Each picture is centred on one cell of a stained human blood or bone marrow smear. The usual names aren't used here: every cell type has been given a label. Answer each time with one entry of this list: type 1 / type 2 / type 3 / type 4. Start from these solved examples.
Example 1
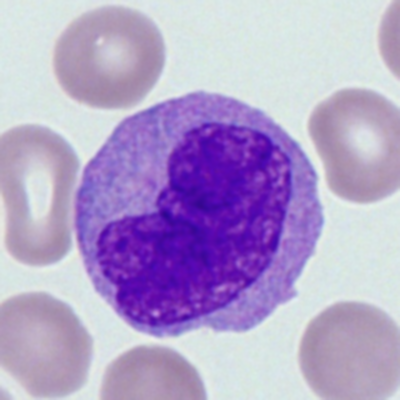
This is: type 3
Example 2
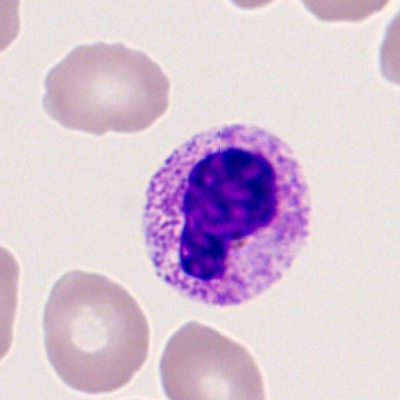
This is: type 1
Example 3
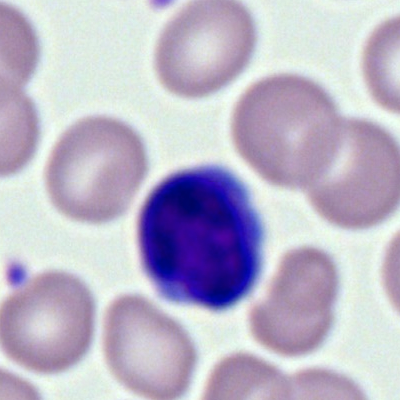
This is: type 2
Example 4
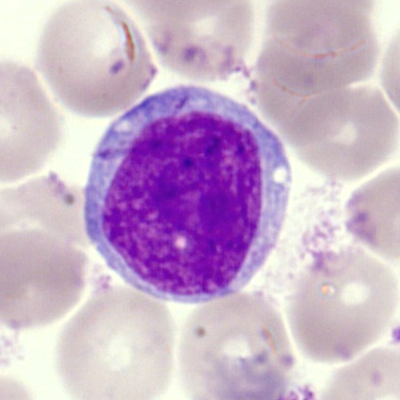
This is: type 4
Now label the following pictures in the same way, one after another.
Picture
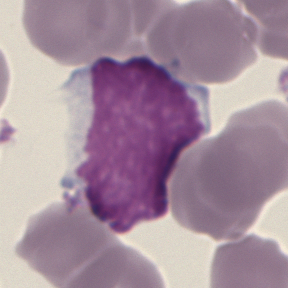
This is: type 2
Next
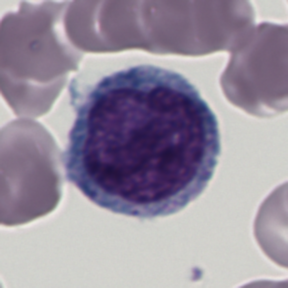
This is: type 3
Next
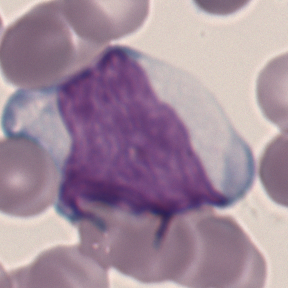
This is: type 4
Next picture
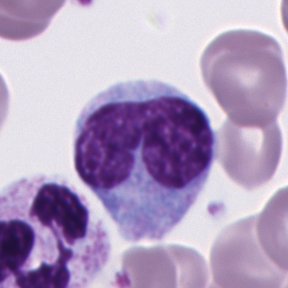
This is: type 3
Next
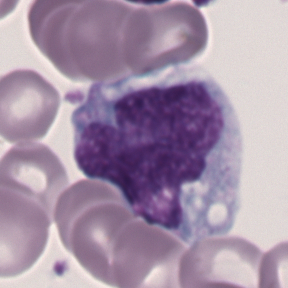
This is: type 3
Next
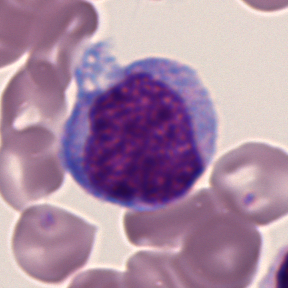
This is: type 3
